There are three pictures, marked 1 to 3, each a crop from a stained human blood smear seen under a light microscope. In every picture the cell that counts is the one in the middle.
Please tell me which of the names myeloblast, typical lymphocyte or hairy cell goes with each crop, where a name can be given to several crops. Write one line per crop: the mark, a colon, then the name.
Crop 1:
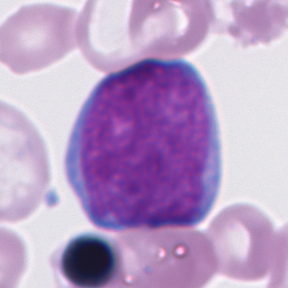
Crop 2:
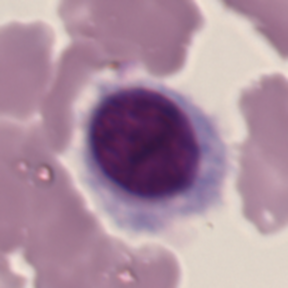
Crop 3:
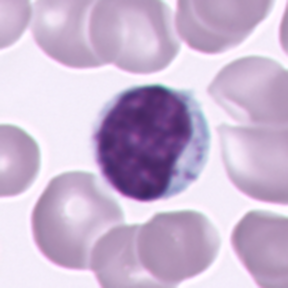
1: myeloblast
2: hairy cell
3: typical lymphocyte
